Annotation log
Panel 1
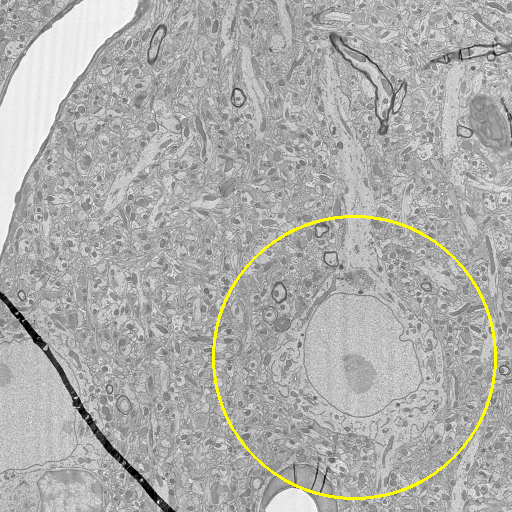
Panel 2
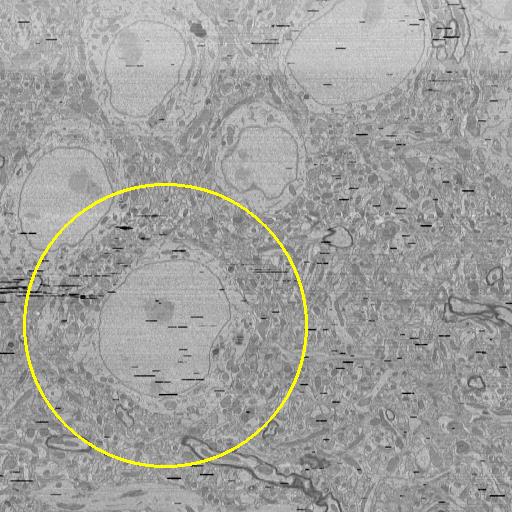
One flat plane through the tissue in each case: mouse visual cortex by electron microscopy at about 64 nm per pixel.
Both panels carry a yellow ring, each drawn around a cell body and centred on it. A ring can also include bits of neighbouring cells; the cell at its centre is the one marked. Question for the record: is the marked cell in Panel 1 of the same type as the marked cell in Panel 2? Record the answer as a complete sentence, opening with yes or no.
Yes, the marked cells in Panel 1 and Panel 2 are of the same type.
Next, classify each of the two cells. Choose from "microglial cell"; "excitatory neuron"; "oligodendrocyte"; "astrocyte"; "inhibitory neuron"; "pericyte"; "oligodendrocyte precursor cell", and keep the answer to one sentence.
The second cell is an excitatory neuron, just as the first is.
